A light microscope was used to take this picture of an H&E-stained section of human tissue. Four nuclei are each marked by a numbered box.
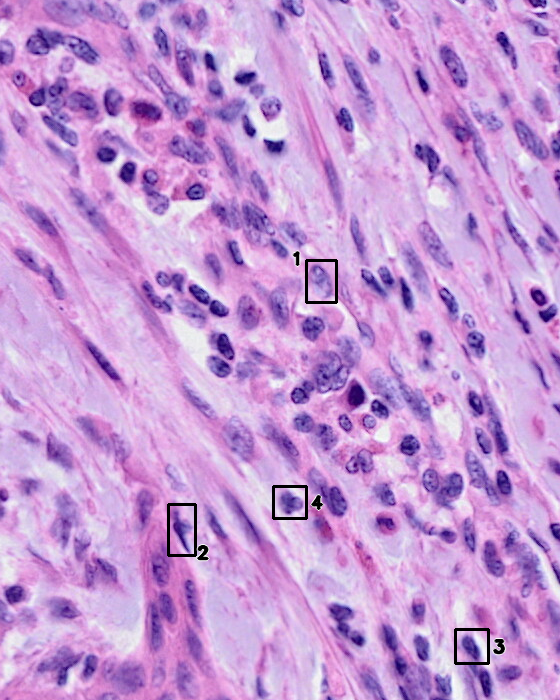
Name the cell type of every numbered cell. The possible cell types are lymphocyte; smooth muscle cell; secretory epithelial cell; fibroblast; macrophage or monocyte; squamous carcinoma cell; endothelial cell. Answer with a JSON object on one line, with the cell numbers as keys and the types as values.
{"1": "endothelial cell", "2": "lymphocyte", "3": "lymphocyte", "4": "lymphocyte"}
